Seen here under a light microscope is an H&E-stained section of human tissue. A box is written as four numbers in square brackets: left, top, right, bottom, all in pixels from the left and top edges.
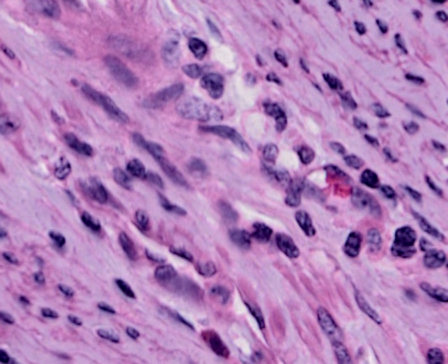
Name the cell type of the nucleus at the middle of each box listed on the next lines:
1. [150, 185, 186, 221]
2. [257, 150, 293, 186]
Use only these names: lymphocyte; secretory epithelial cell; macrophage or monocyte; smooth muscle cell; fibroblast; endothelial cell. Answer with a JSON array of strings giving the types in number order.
["fibroblast", "endothelial cell"]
